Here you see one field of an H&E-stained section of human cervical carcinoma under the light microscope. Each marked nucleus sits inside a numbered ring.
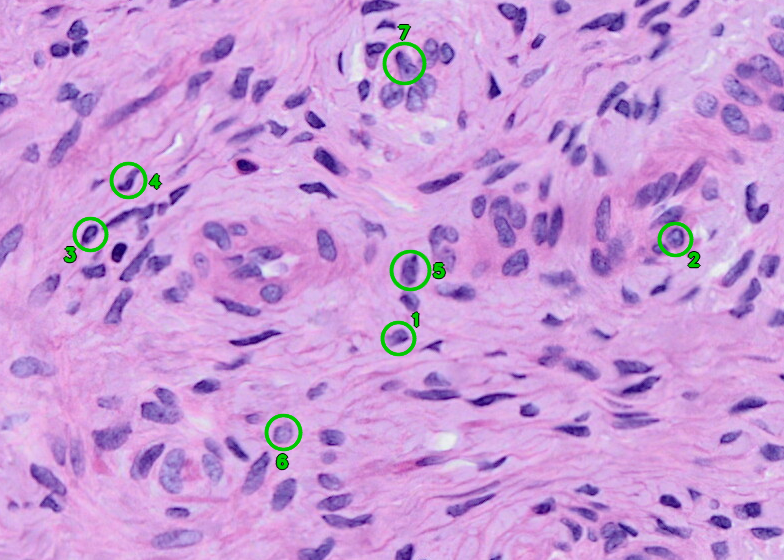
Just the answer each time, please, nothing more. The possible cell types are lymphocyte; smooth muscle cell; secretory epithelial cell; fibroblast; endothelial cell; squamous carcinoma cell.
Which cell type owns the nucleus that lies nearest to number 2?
smooth muscle cell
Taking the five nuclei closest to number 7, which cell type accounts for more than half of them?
endothelial cell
